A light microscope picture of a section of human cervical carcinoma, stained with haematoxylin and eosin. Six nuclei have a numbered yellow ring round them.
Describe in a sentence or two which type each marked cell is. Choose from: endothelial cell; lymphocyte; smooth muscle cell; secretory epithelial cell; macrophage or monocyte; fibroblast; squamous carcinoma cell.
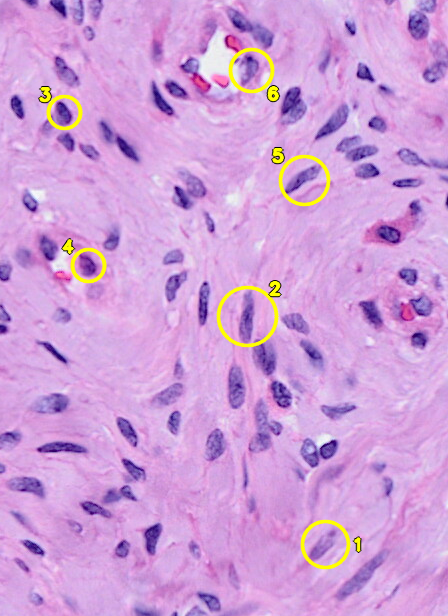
Cell 1 is a smooth muscle cell, cell 2 is a fibroblast, cell 3 is a fibroblast, cell 4 is an endothelial cell, cell 5 is a fibroblast and cell 6 is an endothelial cell.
